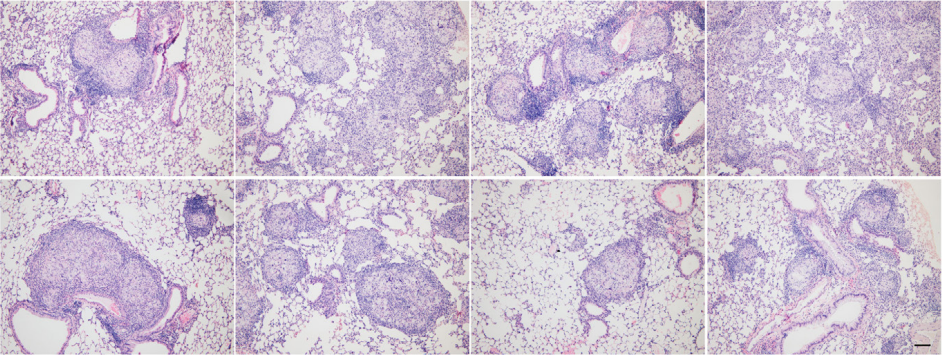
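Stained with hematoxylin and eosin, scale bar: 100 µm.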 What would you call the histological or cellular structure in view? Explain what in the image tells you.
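Granulomas. Round to oval nodules of densely packed cells lie within the lung tissue. Some nodules have a denser dark-blue cellular rim around a paler center.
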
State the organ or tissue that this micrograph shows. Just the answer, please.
Lung.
